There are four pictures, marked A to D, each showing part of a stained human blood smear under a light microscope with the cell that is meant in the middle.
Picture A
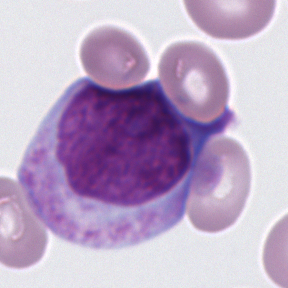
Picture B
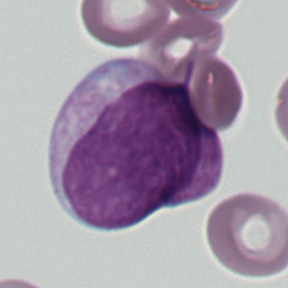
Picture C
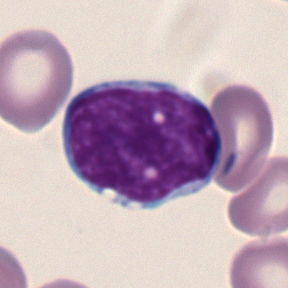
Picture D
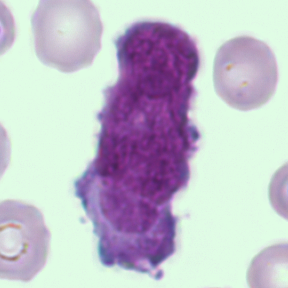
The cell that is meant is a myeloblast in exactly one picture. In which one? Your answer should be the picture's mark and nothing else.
C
